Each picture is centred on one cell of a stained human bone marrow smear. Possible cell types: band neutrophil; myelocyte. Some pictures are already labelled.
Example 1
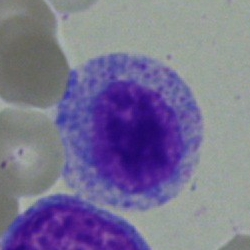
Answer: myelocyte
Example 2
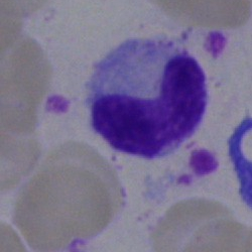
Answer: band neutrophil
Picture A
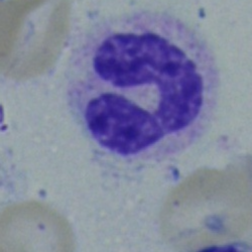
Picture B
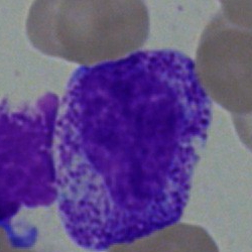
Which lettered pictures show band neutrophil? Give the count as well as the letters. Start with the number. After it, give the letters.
1: A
